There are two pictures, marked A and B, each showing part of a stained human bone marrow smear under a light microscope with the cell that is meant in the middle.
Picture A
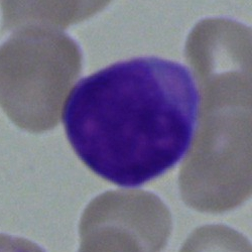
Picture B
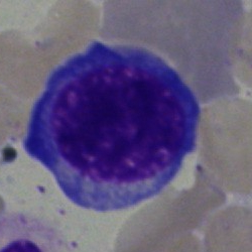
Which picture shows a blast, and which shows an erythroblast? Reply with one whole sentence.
It is picture A that shows a blast, and picture B that shows an erythroblast.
